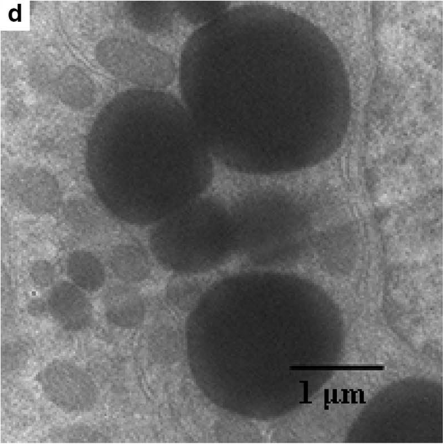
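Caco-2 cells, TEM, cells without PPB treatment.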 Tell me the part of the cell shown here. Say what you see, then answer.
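Large round bodies with homogeneous, dense gray content fill much of the field. The round bodies lack an internal structure and have no double membrane. On this evidence: lipid droplets.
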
